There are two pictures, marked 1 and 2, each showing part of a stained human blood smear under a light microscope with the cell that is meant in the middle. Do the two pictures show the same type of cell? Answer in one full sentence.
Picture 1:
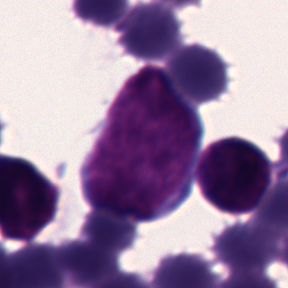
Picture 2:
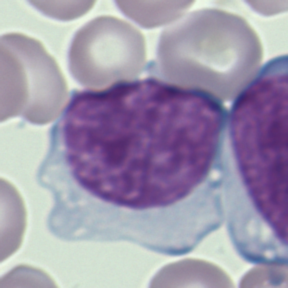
Yes, they are the same type: both are myeloblasts.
